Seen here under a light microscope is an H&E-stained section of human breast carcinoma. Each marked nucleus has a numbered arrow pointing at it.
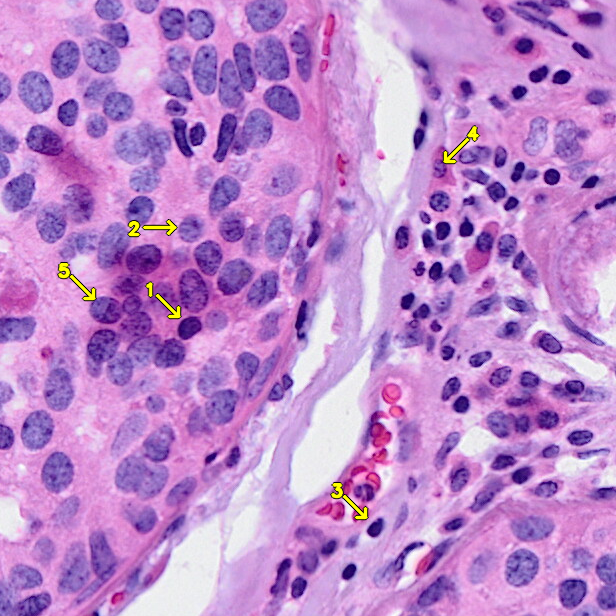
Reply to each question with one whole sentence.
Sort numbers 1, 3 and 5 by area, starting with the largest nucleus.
Going from the biggest nucleus down to the smallest gives 5, 1, 3.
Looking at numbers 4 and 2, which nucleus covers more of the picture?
Of the two, number 2 is bigger and takes up about 3 times the area of number 4.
